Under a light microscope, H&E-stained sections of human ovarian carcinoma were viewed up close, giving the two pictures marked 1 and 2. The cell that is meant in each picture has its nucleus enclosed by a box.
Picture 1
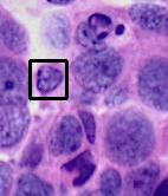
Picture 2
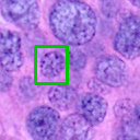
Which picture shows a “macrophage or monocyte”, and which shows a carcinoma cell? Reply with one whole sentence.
The cell in picture 1 is a “macrophage or monocyte”, and the one in picture 2 is a carcinoma cell.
